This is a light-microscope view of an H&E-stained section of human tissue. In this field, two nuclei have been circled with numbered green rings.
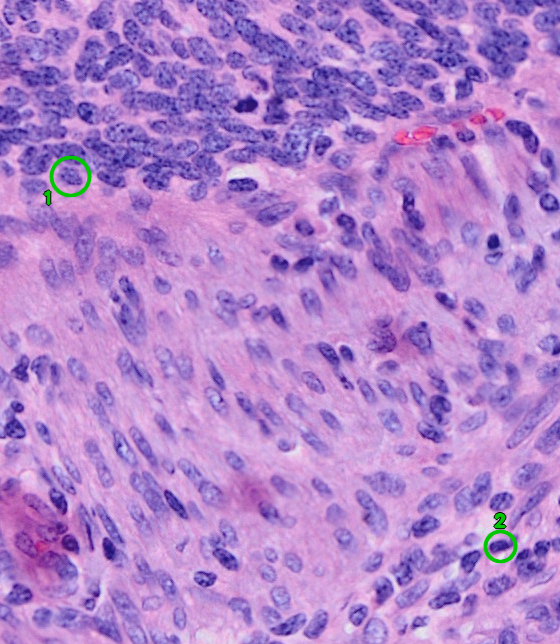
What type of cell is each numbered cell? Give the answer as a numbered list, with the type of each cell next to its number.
1. squamous carcinoma cell
2. lymphocyte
